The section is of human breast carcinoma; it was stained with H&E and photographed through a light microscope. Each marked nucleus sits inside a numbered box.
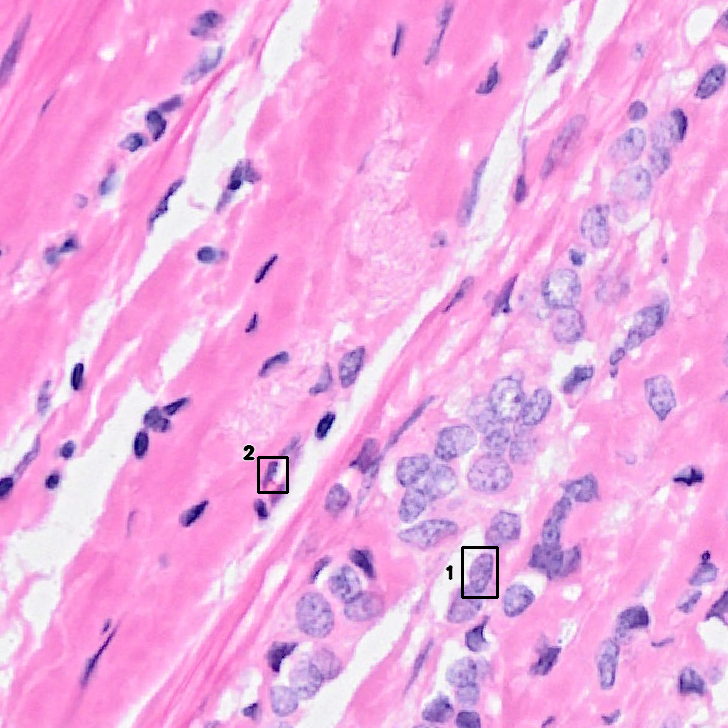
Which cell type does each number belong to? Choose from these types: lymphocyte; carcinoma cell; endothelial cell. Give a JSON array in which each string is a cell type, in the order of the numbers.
["carcinoma cell", "endothelial cell"]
